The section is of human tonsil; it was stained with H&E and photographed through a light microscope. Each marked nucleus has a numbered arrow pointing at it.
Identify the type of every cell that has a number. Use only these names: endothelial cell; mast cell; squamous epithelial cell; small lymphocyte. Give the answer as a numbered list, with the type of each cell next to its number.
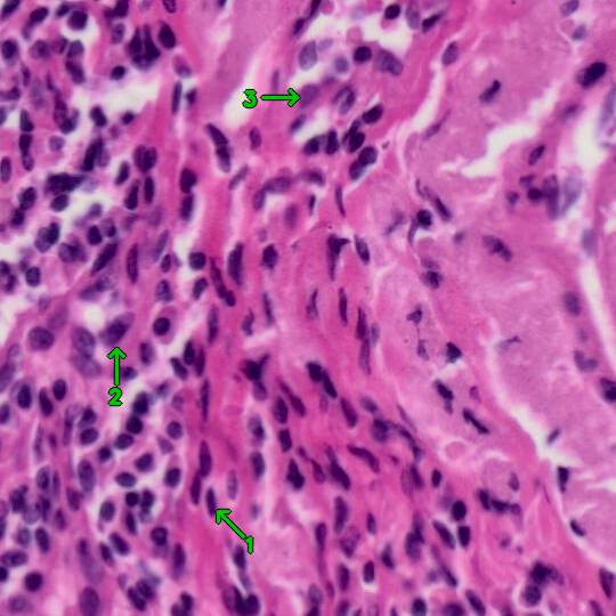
1. mast cell
2. endothelial cell
3. endothelial cell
